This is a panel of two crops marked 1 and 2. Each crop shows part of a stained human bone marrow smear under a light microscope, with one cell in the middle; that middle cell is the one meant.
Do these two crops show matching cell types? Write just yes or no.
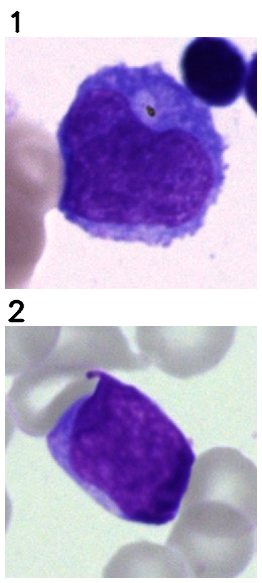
yes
